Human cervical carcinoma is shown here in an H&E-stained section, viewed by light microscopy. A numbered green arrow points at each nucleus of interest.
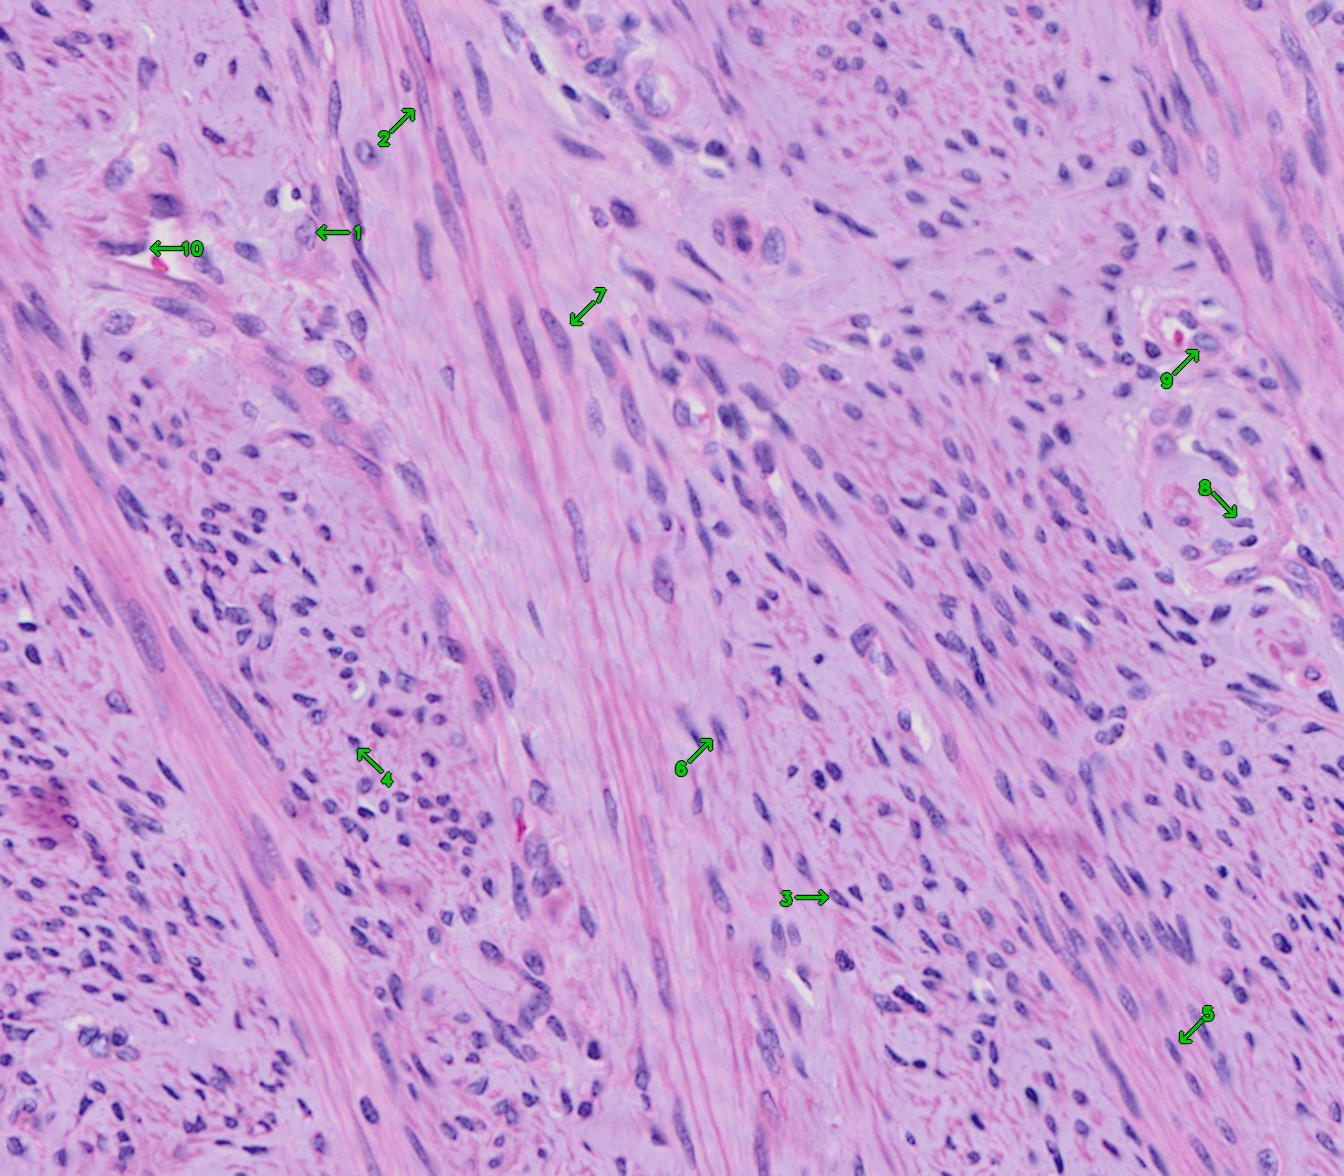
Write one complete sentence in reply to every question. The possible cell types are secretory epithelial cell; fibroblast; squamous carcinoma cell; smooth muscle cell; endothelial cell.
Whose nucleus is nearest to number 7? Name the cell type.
The nucleus nearest to number 7 is that of a smooth muscle cell.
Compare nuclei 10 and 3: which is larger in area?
Nucleus 10 covers more area, about 1.5 times as much as nucleus 3.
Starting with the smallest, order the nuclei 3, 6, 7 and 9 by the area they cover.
From smallest to largest, the order is 3, 6, 9, 7.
